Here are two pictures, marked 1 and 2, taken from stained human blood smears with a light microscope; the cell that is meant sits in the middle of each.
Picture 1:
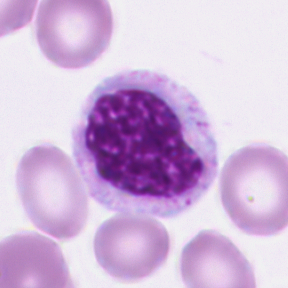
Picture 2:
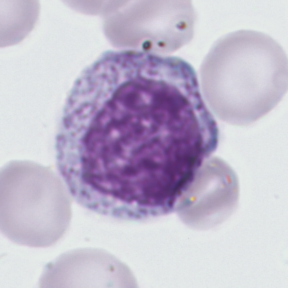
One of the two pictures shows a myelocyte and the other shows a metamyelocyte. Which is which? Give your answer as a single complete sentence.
It is picture 1 that shows a metamyelocyte, and picture 2 that shows a myelocyte.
